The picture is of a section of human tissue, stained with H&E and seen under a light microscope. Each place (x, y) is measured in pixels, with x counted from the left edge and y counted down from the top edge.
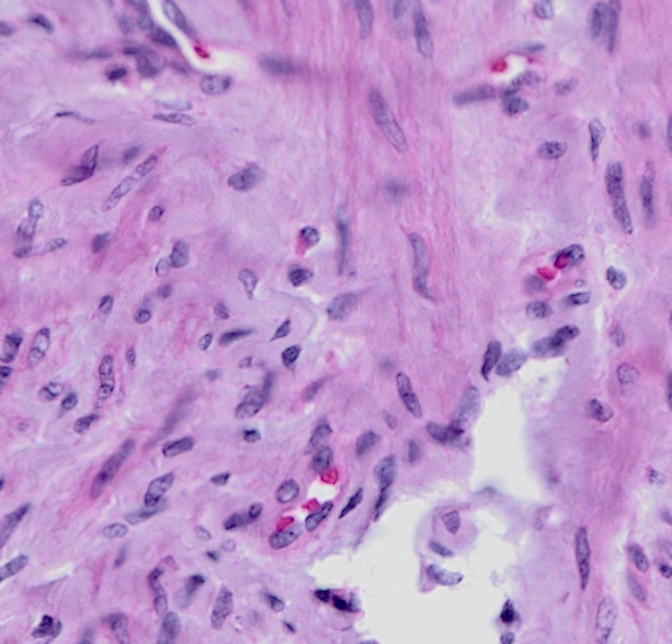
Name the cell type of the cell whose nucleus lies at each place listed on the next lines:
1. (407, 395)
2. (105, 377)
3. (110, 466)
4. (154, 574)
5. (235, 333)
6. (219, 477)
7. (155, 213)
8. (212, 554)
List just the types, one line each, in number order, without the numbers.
fibroblast
smooth muscle cell
smooth muscle cell
smooth muscle cell
fibroblast
fibroblast
smooth muscle cell
fibroblast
